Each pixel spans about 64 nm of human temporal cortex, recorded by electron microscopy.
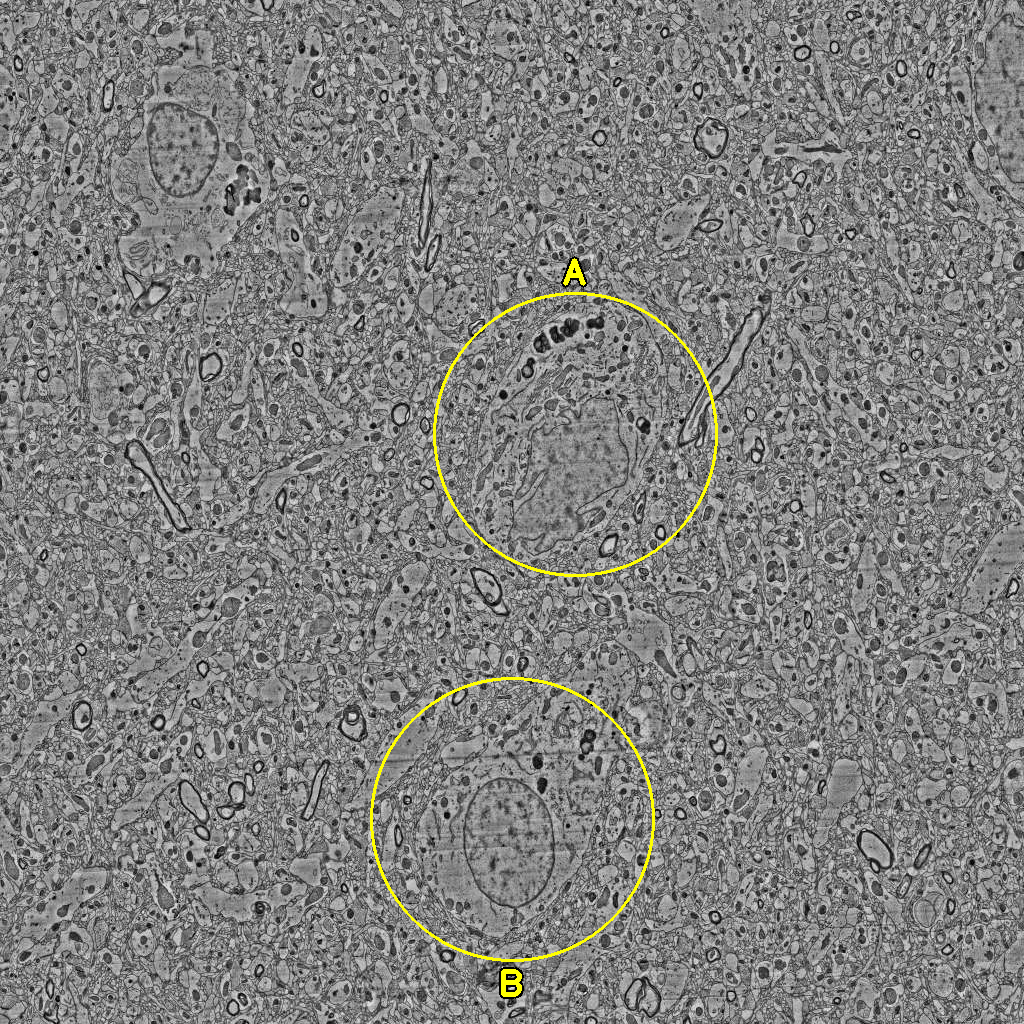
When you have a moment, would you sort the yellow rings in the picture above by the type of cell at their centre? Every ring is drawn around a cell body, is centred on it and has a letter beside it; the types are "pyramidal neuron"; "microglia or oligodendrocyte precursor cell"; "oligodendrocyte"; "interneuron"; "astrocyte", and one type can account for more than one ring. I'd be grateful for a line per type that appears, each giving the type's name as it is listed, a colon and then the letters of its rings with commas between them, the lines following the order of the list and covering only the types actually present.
pyramidal neuron: B
interneuron: A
